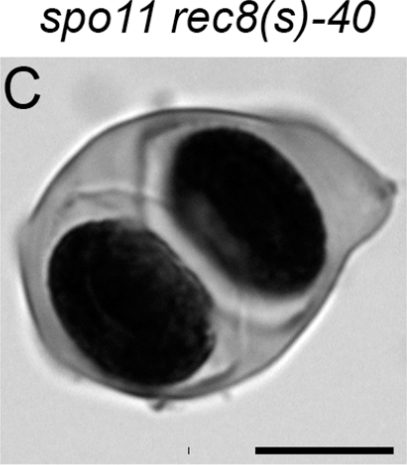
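This is a dyad of spores, a meiotic product with only two spores instead of the usual four. Much of the space within the wall is empty around the spores, and the wall bulges into a small pointed projection at one side.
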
